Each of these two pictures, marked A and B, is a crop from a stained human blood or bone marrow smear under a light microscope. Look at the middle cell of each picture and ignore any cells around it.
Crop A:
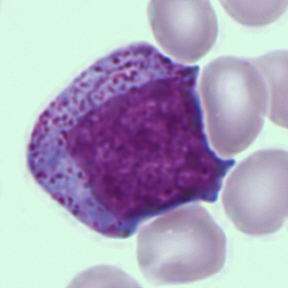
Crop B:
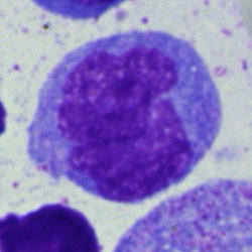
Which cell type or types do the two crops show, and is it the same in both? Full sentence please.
No, crop A captures a promyelocyte; meanwhile crop B captures a monocyte.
